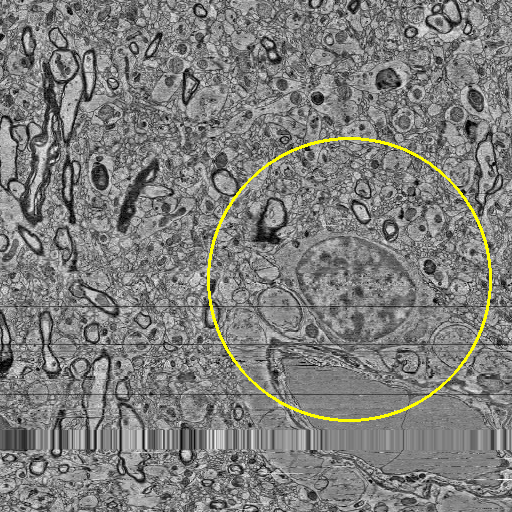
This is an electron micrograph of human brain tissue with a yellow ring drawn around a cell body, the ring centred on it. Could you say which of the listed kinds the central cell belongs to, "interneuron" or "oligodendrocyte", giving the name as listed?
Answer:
oligodendrocyte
